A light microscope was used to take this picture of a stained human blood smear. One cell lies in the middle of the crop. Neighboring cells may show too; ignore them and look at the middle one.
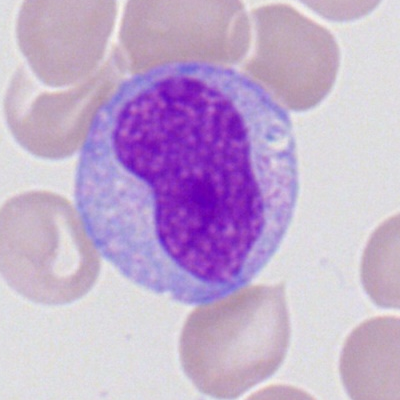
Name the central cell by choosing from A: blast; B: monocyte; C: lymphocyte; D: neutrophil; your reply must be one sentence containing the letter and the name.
Option B is the right one, for the cell in the middle is a monocyte.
